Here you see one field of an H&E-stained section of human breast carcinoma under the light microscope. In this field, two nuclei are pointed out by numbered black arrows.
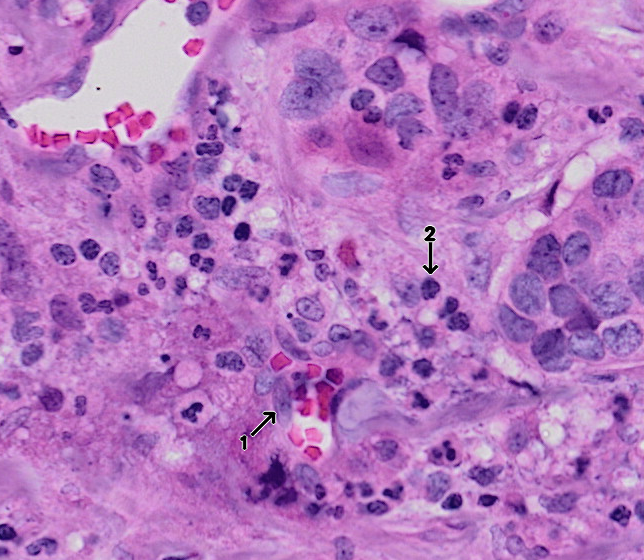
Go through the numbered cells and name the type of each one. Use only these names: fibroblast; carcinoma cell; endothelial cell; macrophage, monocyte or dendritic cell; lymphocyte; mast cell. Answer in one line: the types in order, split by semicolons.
endothelial cell; lymphocyte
